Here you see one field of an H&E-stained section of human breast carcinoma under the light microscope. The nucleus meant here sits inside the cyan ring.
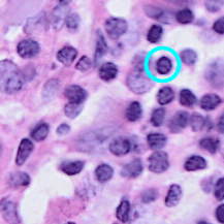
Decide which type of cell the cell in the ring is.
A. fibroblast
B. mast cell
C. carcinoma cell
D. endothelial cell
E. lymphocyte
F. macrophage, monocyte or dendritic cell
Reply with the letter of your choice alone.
E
